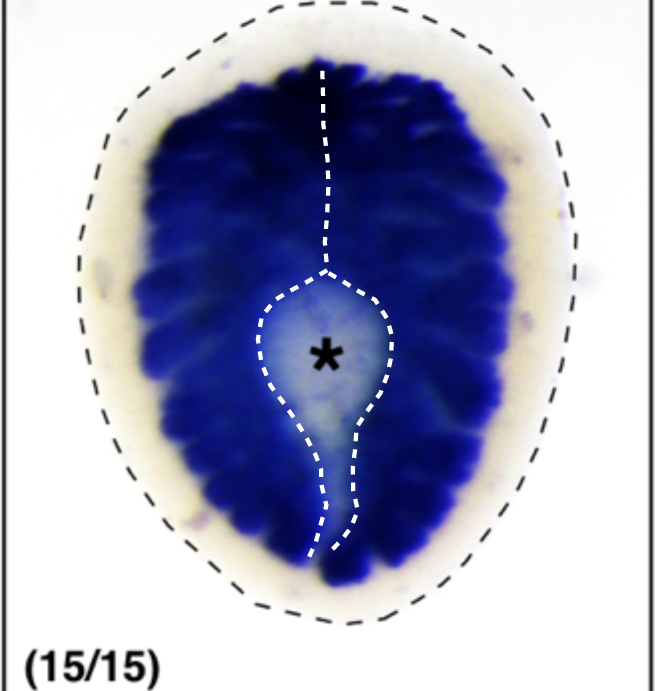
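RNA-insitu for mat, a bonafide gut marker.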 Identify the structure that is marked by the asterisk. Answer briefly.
Pharyngeal cavity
